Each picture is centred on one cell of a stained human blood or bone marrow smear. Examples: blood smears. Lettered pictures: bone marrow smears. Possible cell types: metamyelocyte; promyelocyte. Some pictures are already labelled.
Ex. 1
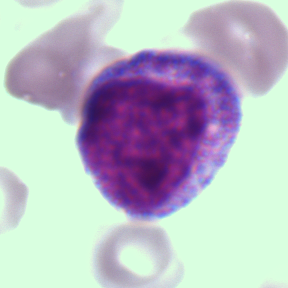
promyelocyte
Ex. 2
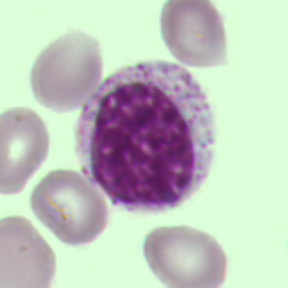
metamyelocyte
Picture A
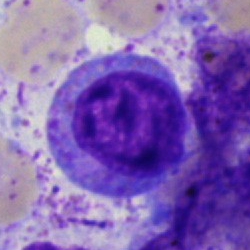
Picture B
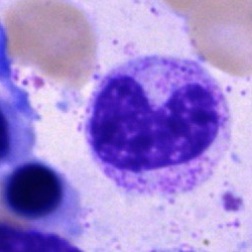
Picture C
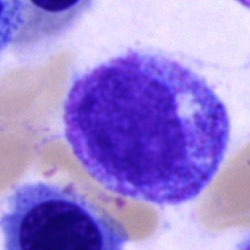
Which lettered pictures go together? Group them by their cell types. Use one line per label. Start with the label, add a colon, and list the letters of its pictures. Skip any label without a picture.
metamyelocyte: B
promyelocyte: A, C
